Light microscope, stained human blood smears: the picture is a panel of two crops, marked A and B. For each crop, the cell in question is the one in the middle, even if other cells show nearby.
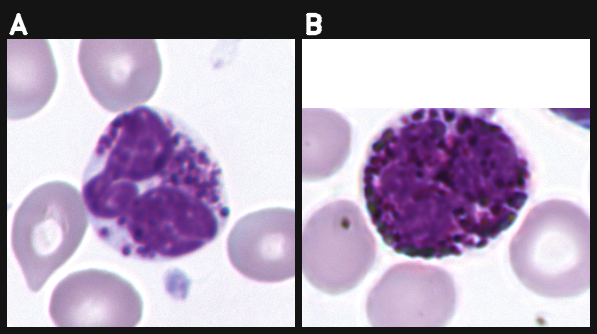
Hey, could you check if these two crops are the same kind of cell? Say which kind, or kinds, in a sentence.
Yes, both crops here show basophils, the pair of them.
